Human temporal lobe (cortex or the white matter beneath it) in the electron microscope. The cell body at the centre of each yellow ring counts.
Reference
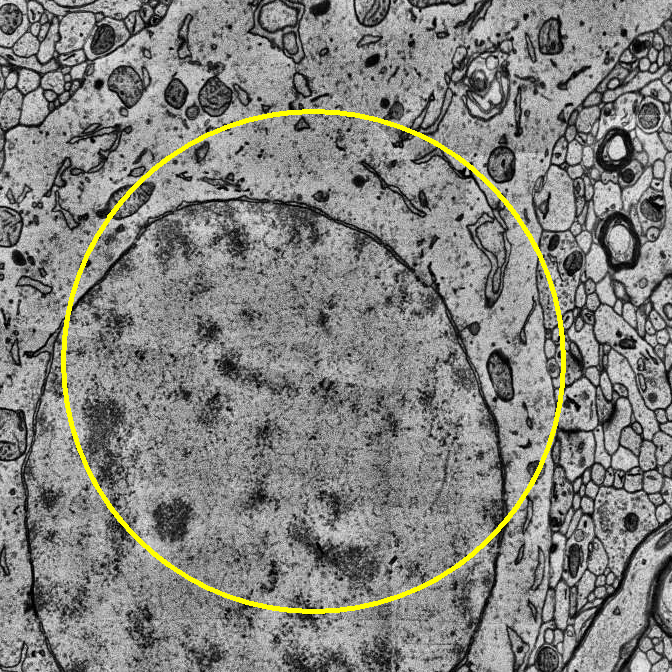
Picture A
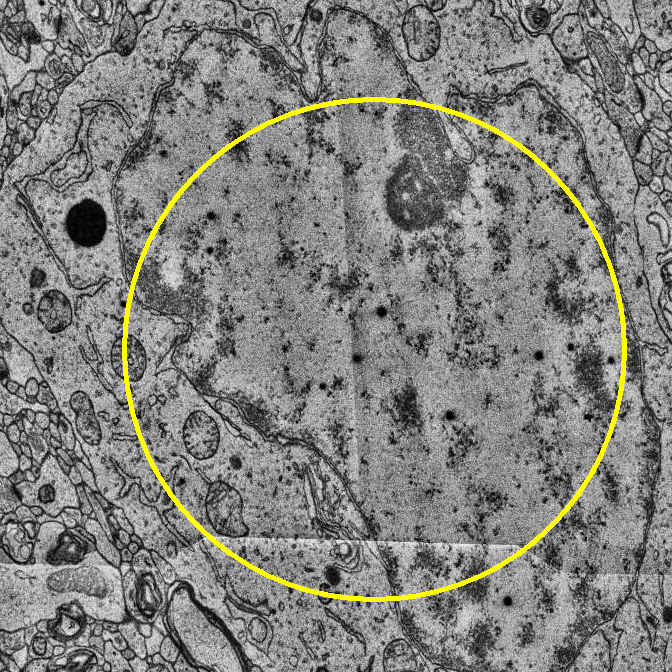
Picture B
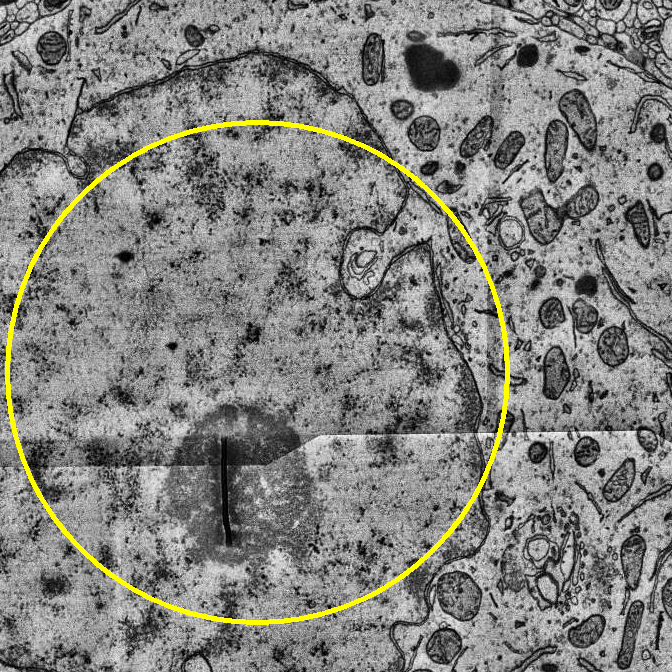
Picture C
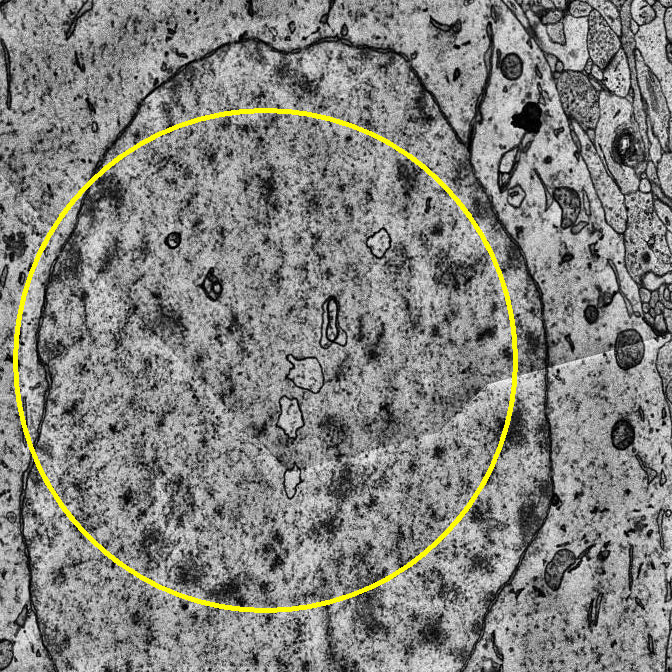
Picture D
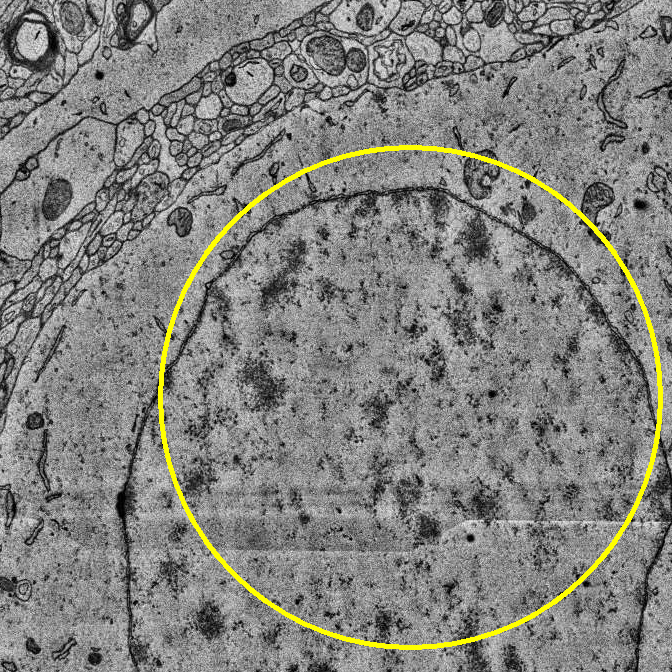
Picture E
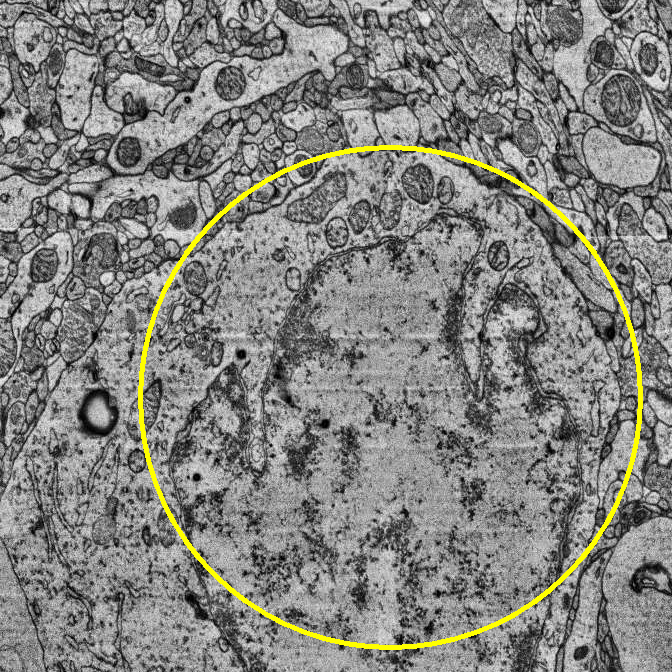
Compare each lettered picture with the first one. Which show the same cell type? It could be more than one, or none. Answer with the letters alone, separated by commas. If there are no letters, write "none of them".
C, D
